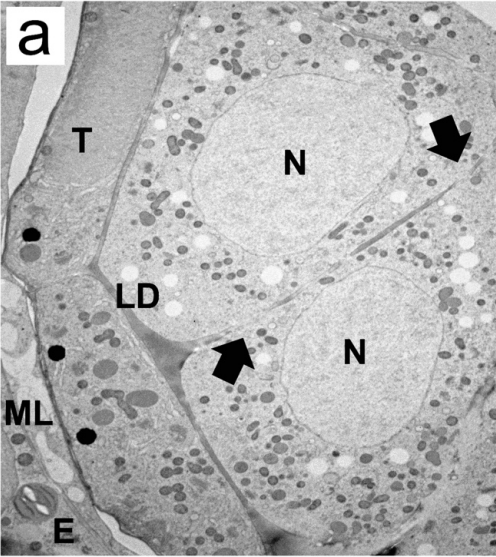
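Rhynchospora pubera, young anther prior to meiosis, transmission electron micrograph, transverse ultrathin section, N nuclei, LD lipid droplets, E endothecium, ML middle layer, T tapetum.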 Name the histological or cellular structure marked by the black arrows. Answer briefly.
Cytoplasmic connections.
